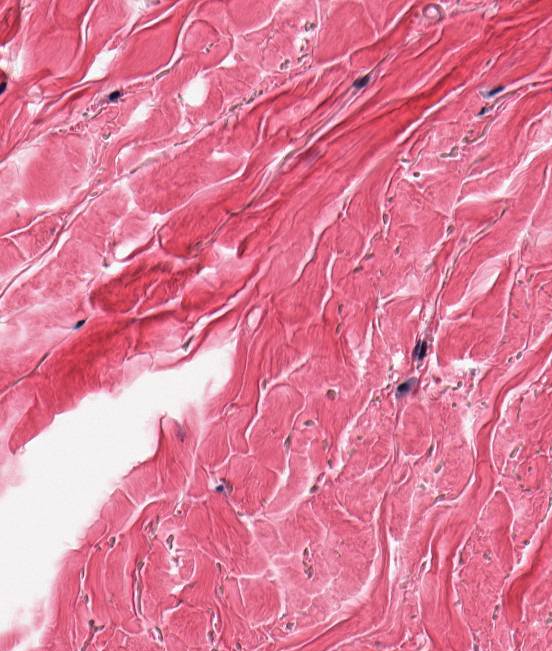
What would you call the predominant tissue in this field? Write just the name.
dermis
